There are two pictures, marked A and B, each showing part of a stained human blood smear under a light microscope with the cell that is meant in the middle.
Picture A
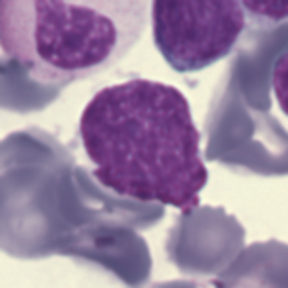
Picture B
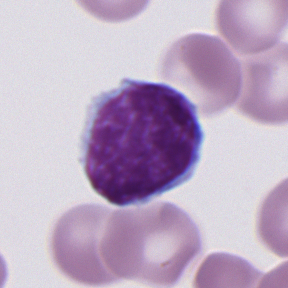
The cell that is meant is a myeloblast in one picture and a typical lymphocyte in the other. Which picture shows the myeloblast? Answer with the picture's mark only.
A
